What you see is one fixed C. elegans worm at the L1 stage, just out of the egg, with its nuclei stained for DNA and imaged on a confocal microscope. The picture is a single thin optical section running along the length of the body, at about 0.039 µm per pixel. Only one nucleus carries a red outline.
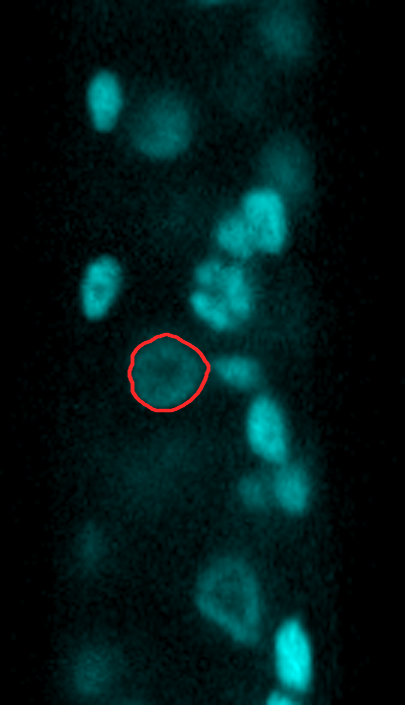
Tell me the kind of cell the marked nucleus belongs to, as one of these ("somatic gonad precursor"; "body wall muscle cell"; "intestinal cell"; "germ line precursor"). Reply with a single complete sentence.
The marked nucleus is that of an intestinal cell.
